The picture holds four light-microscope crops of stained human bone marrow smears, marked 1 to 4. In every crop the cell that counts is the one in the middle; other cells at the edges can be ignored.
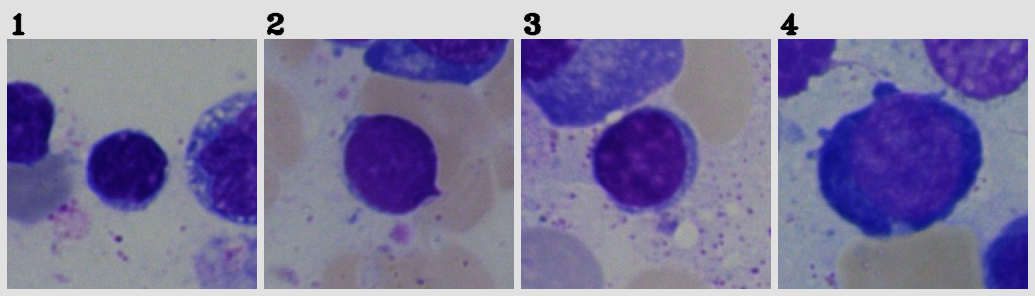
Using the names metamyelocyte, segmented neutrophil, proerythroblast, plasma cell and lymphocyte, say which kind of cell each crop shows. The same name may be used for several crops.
1: lymphocyte
2: lymphocyte
3: lymphocyte
4: proerythroblast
